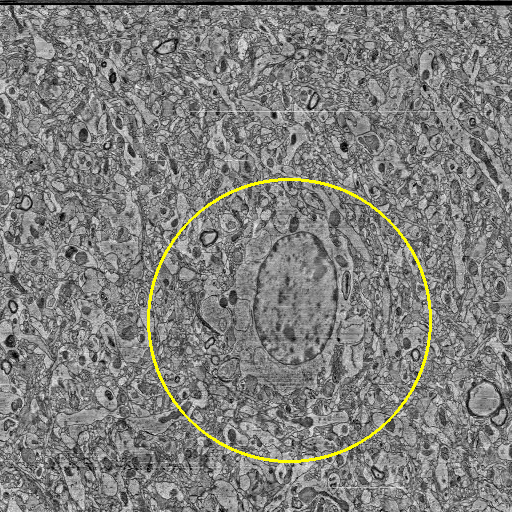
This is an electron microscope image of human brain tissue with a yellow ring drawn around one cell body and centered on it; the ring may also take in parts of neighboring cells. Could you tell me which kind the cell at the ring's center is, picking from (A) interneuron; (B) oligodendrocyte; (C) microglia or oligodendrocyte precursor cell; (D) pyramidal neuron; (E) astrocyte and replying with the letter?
E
